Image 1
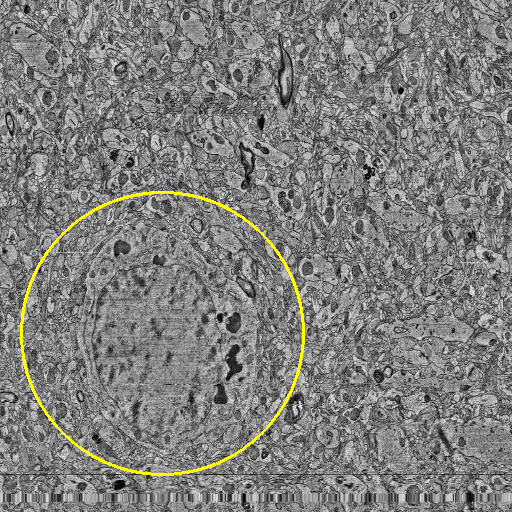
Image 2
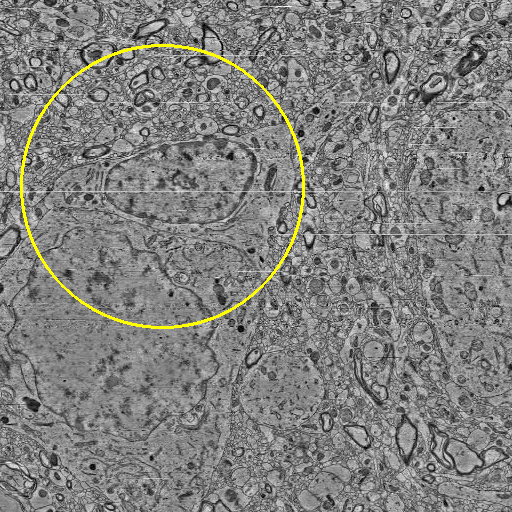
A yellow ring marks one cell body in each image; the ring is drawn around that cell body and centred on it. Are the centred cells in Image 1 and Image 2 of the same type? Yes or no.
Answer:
no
